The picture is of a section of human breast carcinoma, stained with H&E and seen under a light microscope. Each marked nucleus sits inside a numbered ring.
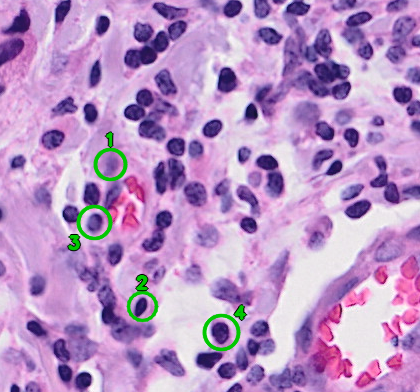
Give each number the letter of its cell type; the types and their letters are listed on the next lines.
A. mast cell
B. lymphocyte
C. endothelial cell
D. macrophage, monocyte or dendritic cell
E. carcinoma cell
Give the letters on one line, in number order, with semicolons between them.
C; B; B; B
